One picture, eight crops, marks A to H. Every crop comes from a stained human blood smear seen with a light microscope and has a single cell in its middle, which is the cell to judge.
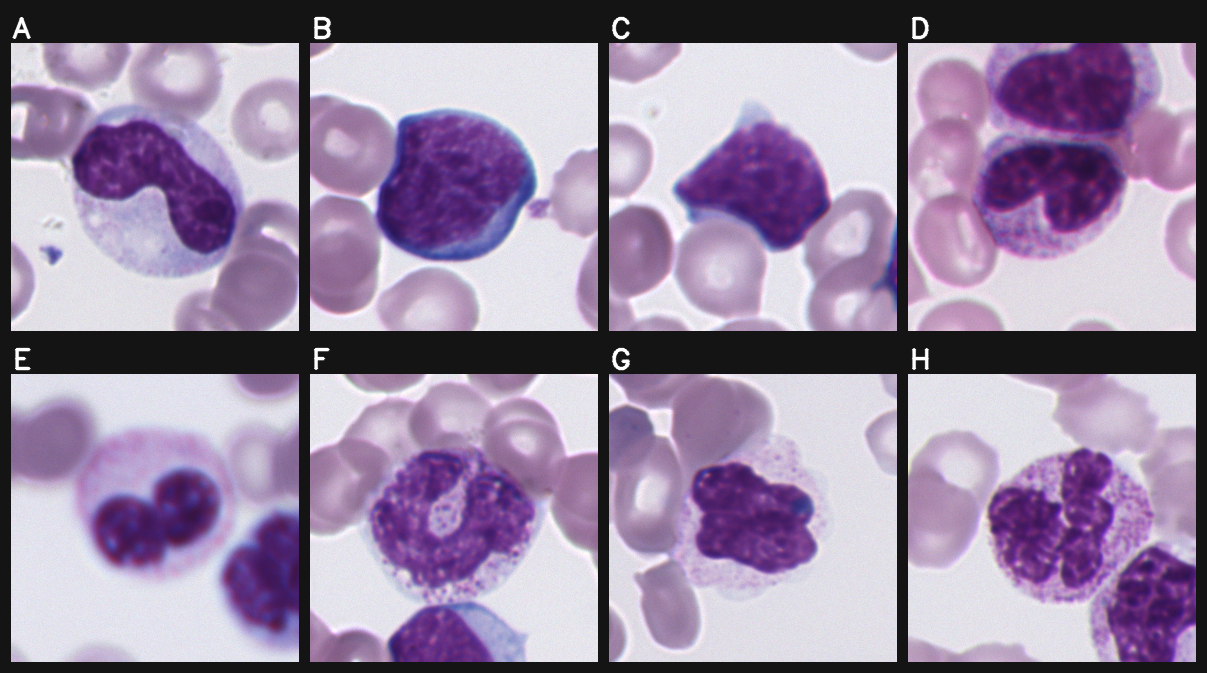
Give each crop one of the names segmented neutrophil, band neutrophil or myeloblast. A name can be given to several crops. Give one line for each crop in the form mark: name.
A: band neutrophil
B: myeloblast
C: myeloblast
D: band neutrophil
E: segmented neutrophil
F: segmented neutrophil
G: segmented neutrophil
H: segmented neutrophil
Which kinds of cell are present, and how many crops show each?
segmented neutrophil: 4
band neutrophil: 2
myeloblast: 2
